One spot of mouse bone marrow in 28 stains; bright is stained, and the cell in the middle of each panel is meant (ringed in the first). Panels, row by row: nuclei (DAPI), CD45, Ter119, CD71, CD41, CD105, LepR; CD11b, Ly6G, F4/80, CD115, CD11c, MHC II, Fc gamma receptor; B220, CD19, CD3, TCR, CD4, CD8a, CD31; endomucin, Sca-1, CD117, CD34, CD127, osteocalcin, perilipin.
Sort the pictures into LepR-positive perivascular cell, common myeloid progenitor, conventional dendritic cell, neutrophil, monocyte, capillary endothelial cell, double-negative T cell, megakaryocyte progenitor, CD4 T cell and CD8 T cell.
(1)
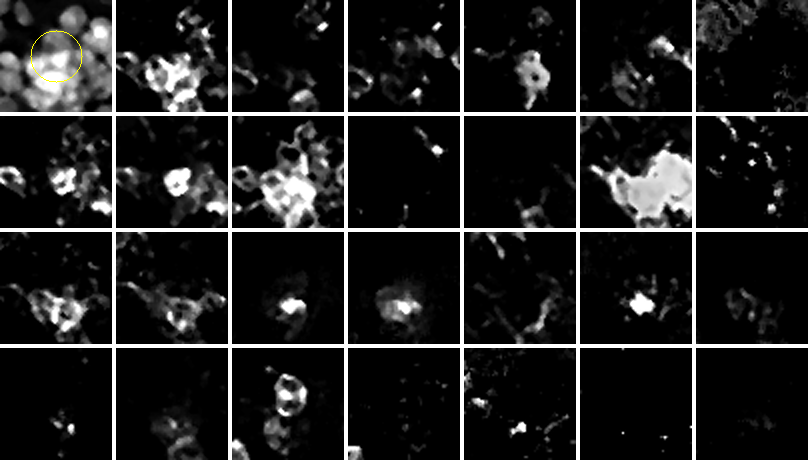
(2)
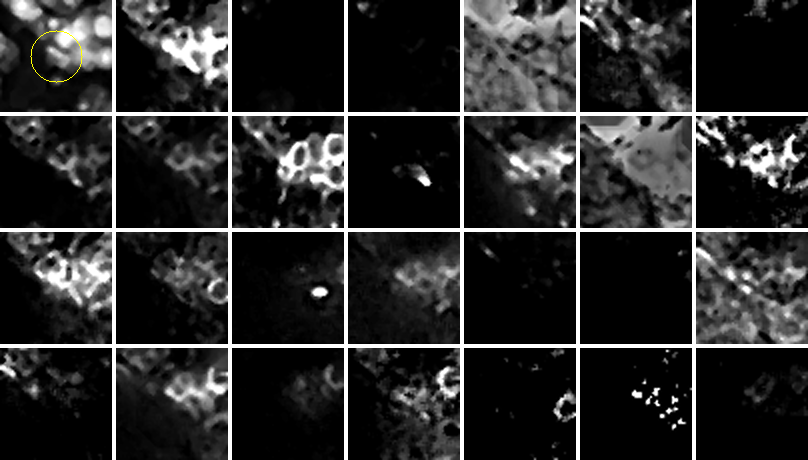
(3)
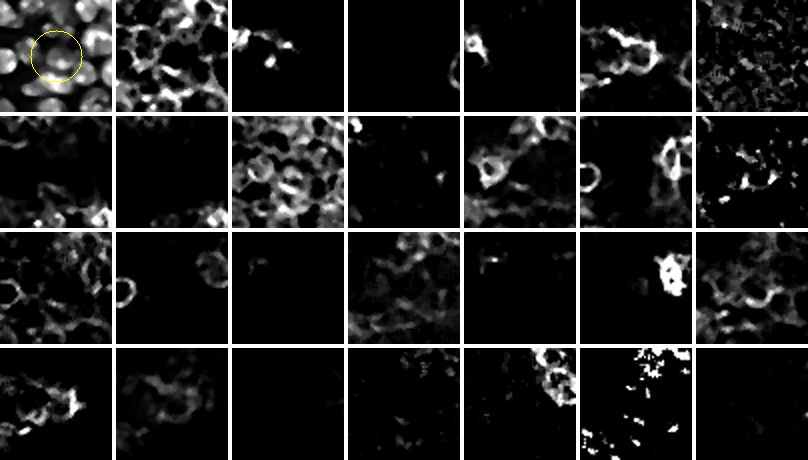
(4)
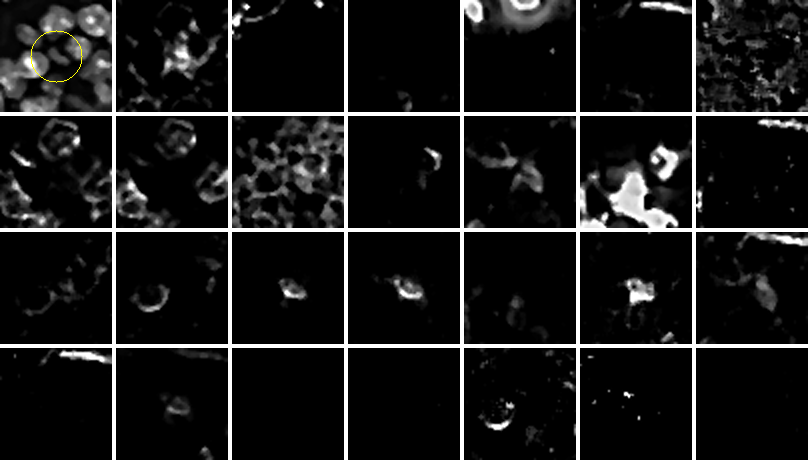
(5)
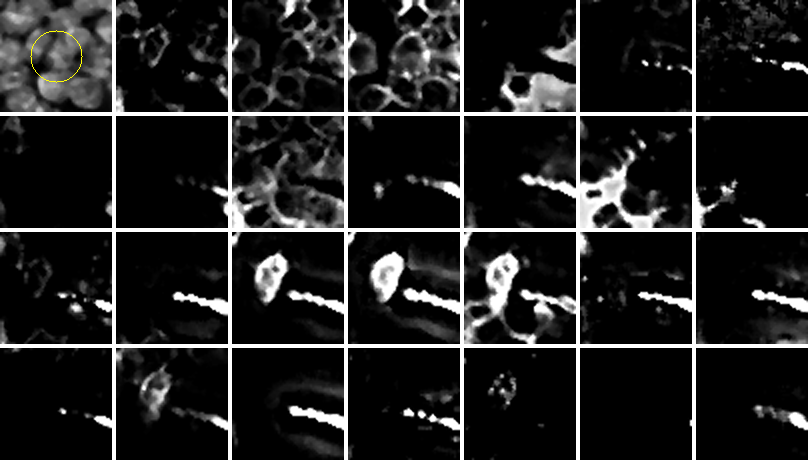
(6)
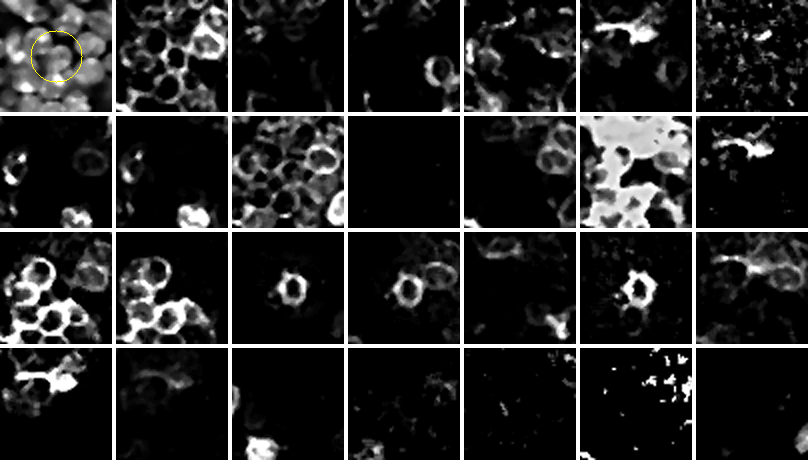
Megakaryocyte progenitors: 1
Conventional dendritic cells: 2
Capillary endothelial cells: 3
CD8 T cells: 4, 6
Double-negative T cells: 5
